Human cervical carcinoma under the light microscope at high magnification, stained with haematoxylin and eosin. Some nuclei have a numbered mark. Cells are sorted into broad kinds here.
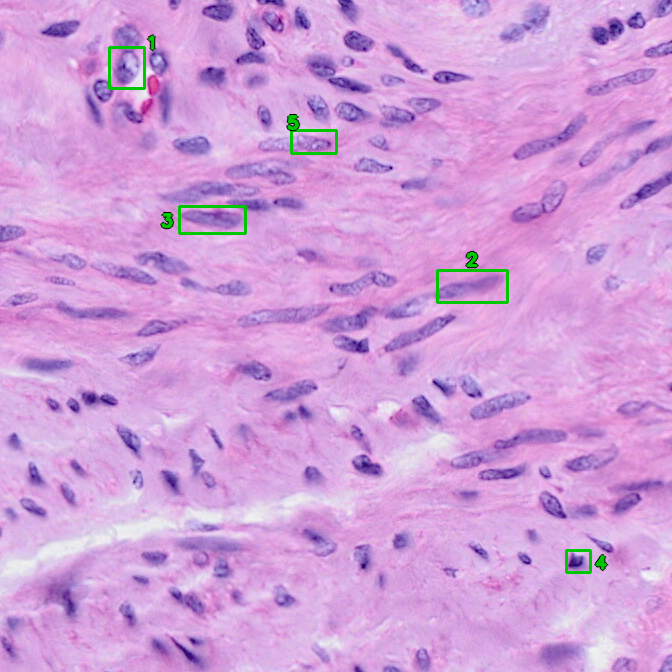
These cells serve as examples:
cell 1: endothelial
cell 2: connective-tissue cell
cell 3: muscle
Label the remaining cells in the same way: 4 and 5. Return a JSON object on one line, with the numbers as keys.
{"4": "connective-tissue cell", "5": "muscle"}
